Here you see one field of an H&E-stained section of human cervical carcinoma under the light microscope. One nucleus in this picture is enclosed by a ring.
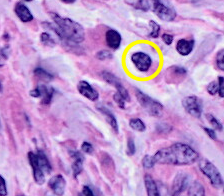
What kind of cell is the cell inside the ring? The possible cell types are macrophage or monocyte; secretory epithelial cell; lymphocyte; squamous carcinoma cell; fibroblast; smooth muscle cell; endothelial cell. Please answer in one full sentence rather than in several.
In the stained section, the cell inside the ring is a lymphocyte.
